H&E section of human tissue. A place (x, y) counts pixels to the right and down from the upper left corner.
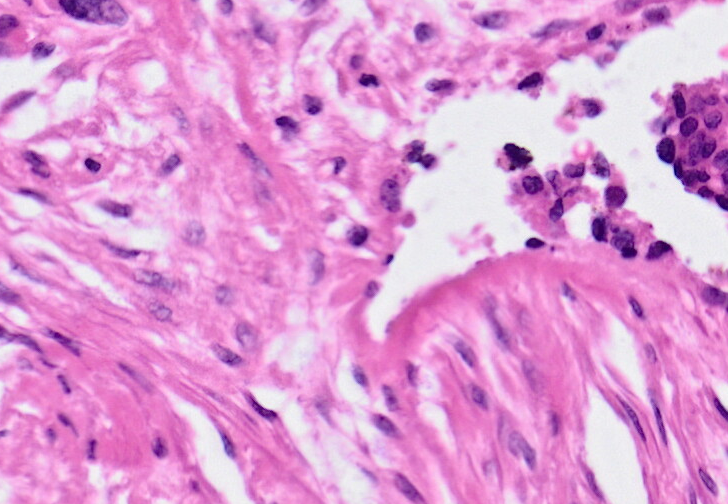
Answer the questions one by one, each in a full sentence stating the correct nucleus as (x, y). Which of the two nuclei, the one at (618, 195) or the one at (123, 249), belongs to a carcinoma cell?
The nucleus at (618, 195) is attributed to a carcinoma cell, unlike the other nucleus.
